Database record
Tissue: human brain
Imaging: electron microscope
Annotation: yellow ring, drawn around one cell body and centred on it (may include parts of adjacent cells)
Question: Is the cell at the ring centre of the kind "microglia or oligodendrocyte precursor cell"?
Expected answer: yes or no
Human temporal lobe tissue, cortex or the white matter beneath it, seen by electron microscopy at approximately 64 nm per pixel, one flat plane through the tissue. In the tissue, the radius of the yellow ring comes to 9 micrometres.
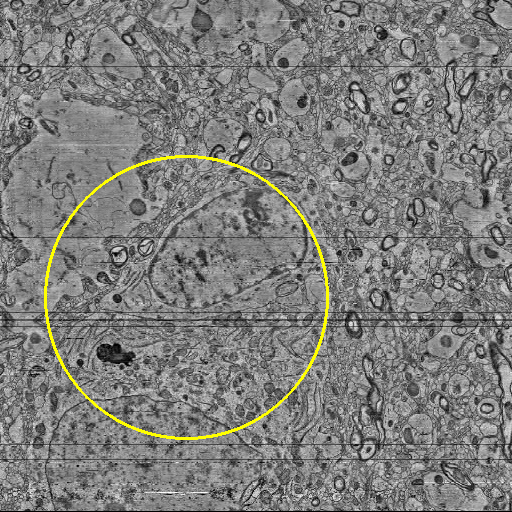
yes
